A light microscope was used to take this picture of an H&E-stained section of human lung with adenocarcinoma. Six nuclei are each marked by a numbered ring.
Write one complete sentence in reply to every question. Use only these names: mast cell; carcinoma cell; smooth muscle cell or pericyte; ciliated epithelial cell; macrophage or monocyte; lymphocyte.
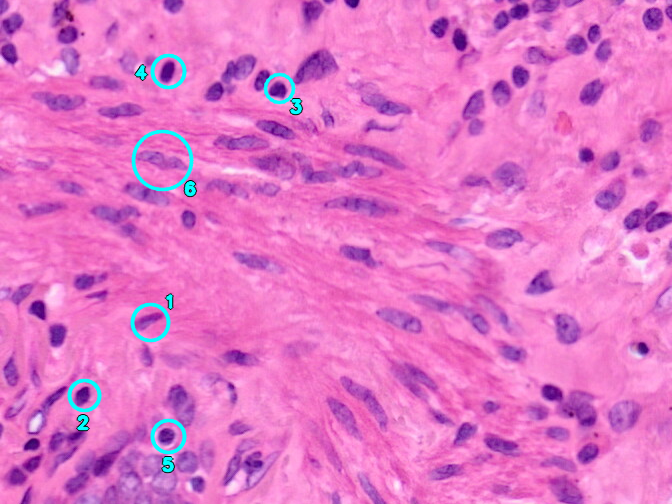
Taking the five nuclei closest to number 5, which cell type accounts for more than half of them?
Of the five nuclei nearest to number 5, most belong to ciliated epithelial cells.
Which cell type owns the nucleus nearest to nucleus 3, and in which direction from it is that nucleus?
The nearest nucleus is that of a mast cell and lies above and to the left of nucleus 3.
